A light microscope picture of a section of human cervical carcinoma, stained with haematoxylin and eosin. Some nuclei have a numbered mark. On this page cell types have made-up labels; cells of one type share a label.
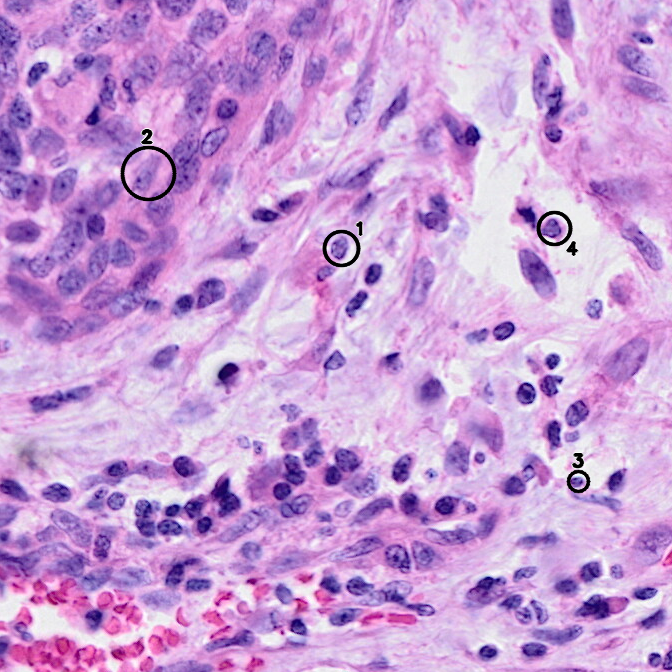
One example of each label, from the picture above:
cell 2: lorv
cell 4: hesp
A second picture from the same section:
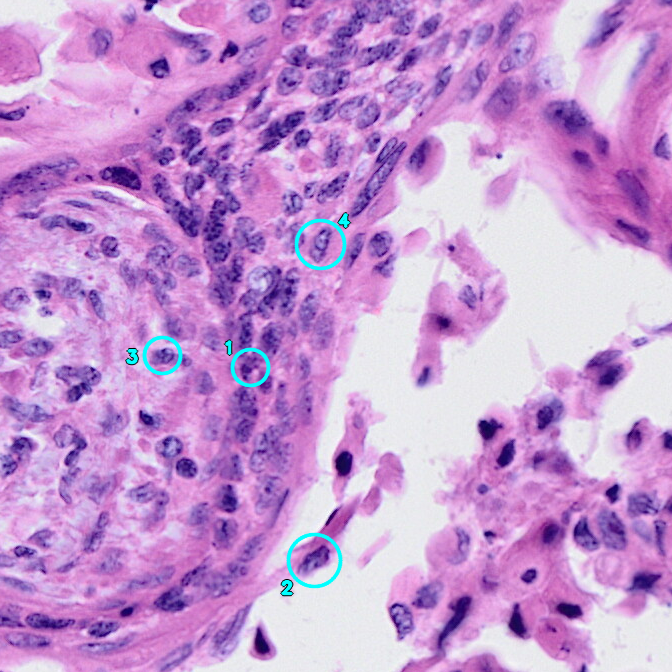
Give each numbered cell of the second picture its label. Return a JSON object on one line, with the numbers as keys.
{"1": "lorv", "2": "lorv", "3": "hesp", "4": "lorv"}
